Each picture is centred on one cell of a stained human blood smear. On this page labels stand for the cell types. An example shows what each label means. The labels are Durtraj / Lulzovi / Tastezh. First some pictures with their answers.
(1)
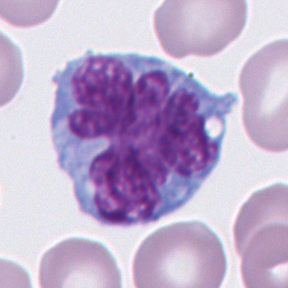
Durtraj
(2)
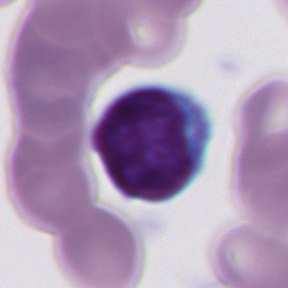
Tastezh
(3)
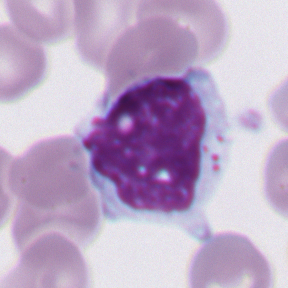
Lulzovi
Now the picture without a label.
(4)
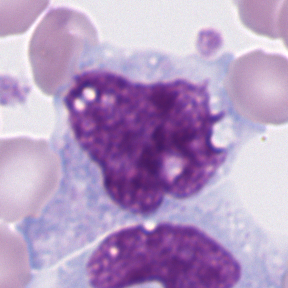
Durtraj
